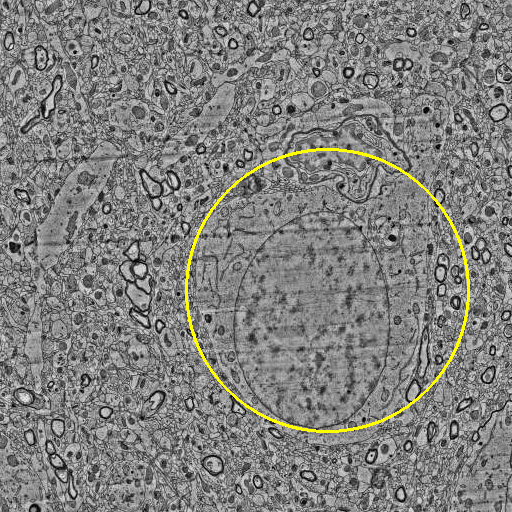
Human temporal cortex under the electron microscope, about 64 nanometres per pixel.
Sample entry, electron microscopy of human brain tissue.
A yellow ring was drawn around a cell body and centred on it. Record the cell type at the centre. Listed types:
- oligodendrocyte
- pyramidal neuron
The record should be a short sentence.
The cell at the ring's centre is a pyramidal neuron.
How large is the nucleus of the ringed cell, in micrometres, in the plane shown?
The nucleus works out at approximately 13 by 10 micrometres in this plane.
